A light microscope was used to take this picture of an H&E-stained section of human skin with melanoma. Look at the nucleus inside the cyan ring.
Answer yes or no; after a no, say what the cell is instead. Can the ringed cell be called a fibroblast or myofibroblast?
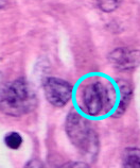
No, it is a melanoma cell.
